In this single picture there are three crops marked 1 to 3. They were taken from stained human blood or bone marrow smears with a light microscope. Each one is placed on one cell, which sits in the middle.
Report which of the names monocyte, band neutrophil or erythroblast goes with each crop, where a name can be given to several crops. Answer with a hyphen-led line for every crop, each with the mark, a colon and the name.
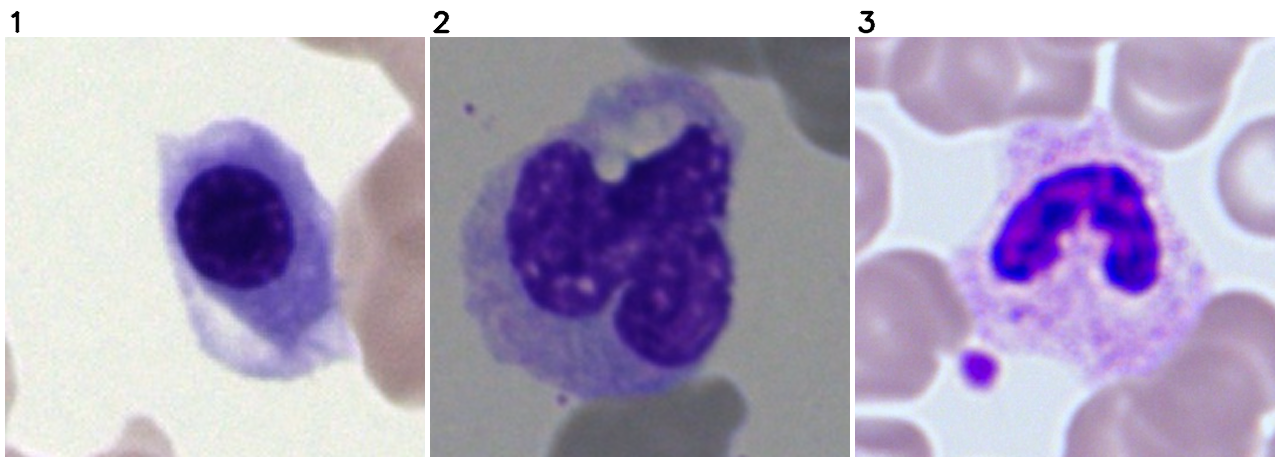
- 1: erythroblast
- 2: monocyte
- 3: band neutrophil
